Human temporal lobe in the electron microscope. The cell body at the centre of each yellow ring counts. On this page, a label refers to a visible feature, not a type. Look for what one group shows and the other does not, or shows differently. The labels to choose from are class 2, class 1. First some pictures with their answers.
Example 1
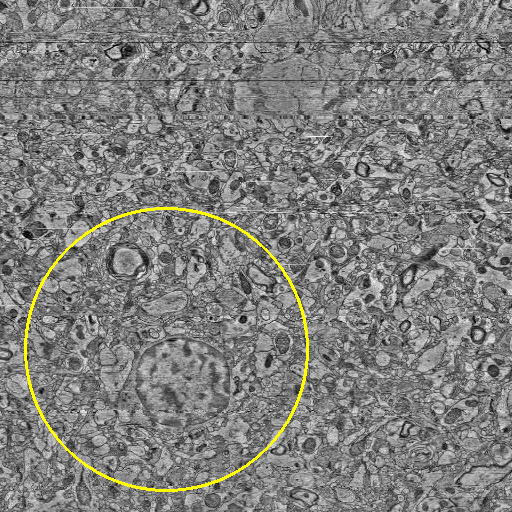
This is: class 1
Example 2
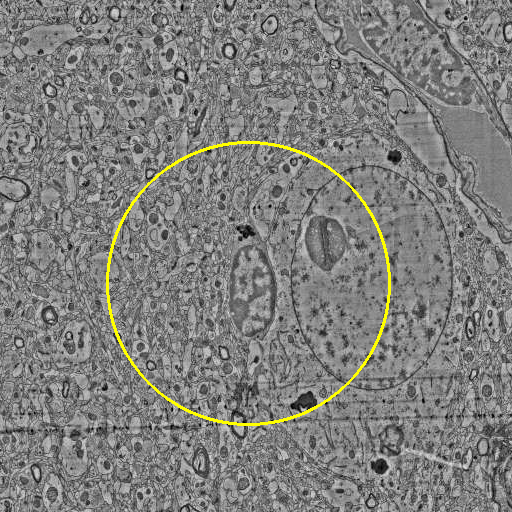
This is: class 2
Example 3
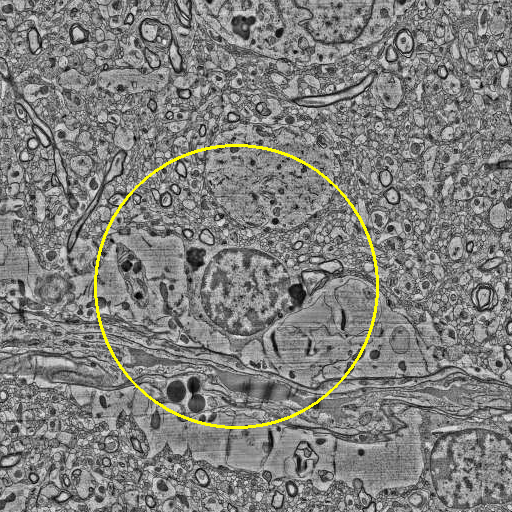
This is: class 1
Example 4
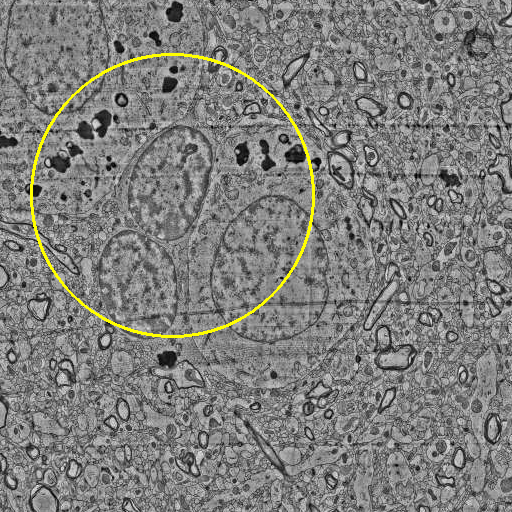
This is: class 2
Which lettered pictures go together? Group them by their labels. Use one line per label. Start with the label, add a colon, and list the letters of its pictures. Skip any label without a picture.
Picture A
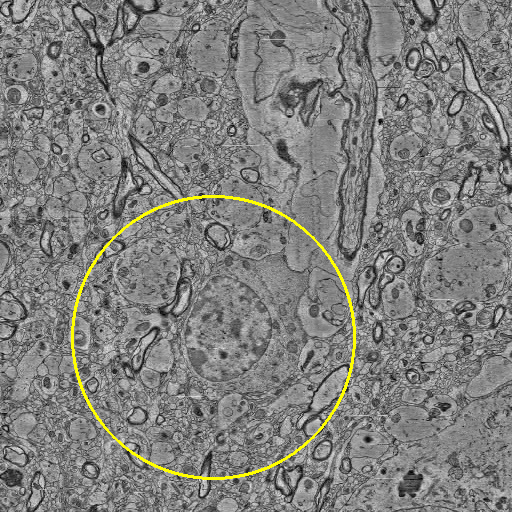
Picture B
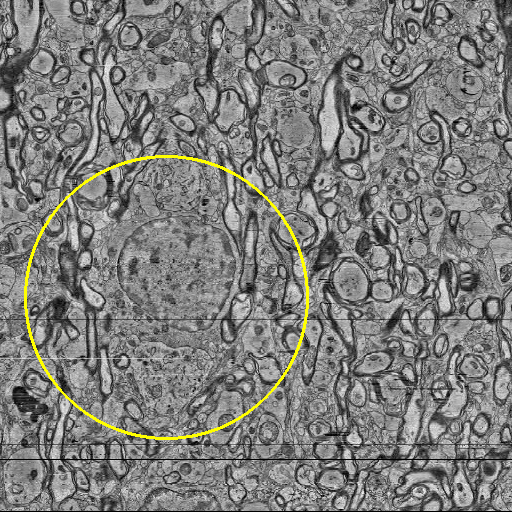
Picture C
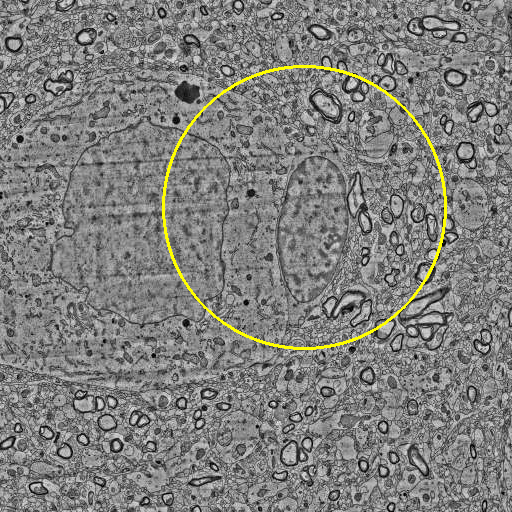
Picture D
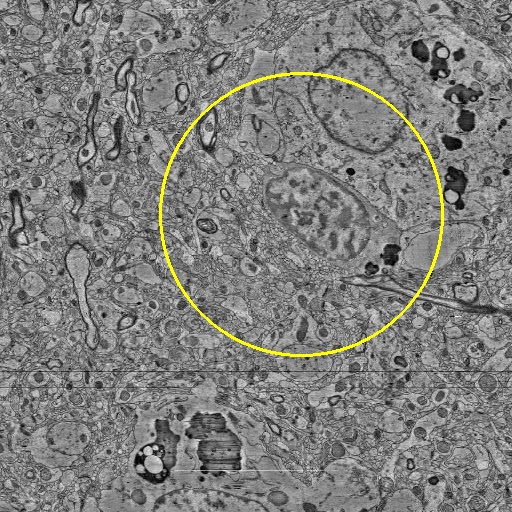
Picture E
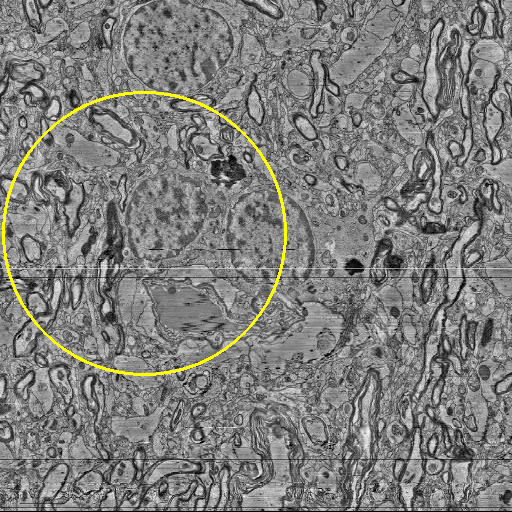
class 2: C, D
class 1: A, B, E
